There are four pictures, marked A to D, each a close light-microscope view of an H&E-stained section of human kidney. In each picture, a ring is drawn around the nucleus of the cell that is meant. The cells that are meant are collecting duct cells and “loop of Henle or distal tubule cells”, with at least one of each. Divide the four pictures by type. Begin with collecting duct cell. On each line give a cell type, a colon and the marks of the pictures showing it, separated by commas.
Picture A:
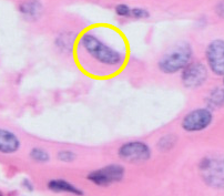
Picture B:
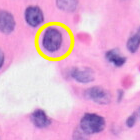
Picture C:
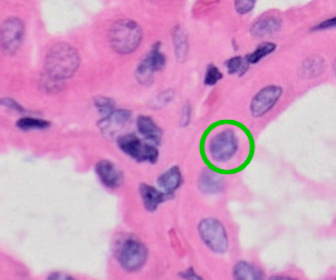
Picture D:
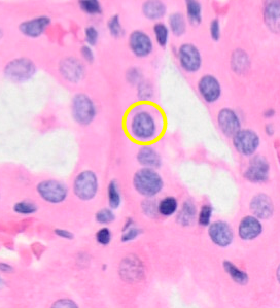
collecting duct cell: A, B, D
loop of Henle or distal tubule cell: C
